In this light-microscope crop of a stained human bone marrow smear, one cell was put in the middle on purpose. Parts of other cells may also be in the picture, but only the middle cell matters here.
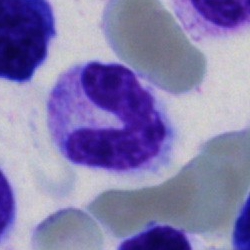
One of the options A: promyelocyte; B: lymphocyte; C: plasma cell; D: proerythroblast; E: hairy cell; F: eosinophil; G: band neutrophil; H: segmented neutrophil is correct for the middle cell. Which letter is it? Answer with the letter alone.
H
